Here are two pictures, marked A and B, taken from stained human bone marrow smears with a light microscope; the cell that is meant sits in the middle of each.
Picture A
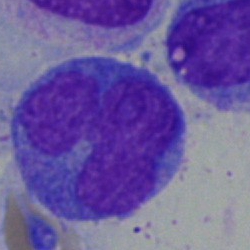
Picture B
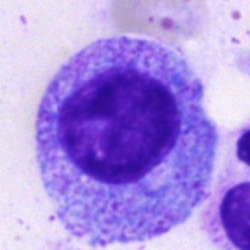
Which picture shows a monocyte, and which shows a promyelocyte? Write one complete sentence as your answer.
Picture A shows a monocyte and picture B shows a promyelocyte.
